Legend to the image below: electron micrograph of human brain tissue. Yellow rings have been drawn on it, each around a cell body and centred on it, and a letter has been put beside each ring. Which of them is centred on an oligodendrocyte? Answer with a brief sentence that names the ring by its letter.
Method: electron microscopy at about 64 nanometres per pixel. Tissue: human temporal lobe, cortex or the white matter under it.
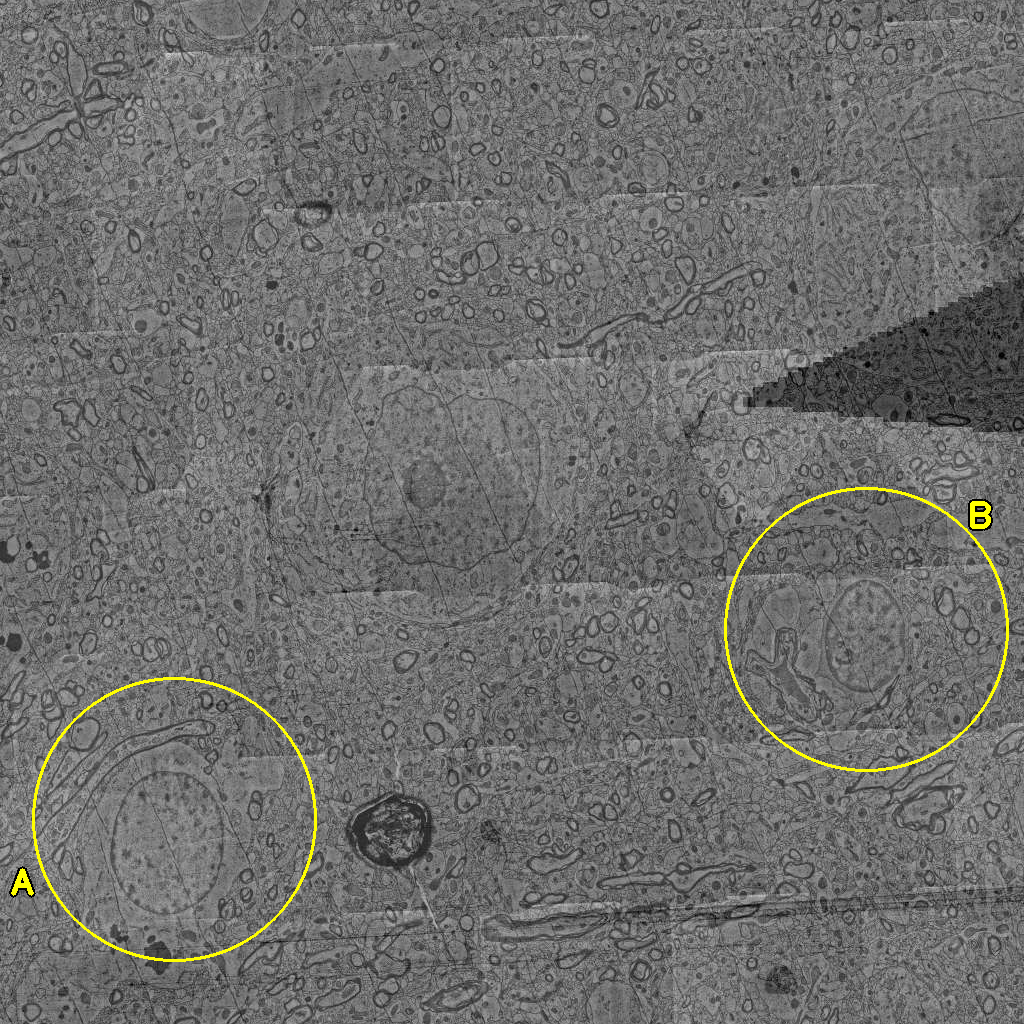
It is the ring lettered B.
